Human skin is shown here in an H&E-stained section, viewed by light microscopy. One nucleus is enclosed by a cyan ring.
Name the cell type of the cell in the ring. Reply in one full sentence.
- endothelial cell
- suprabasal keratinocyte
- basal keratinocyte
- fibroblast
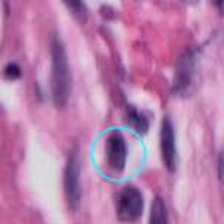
For the purposes of cell typing, the cell in the ring is categorized as an endothelial cell.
